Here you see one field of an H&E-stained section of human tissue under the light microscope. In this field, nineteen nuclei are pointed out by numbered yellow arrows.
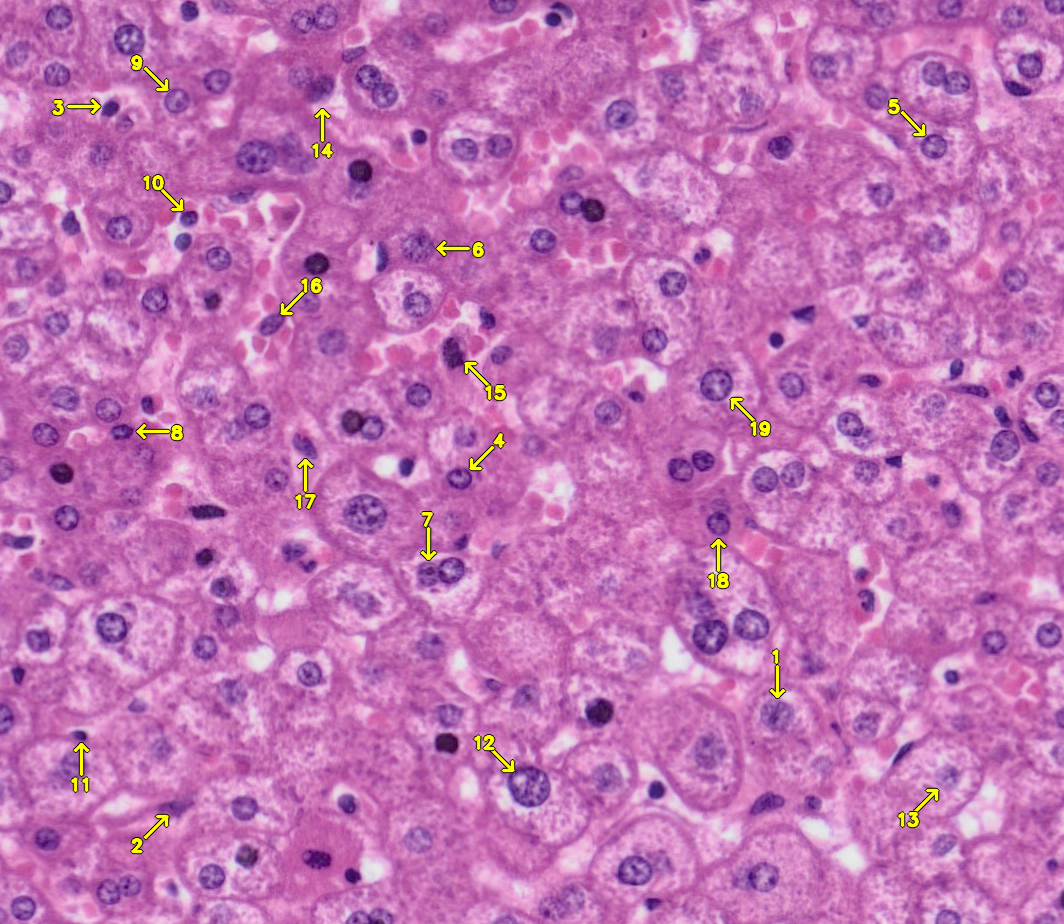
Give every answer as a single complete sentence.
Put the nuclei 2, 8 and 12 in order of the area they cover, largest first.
From largest to smallest, the order is 12, 2, 8.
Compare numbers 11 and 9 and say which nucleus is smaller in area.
With nucleus 9 about 3 times its size, nucleus 11 is the smaller of the two.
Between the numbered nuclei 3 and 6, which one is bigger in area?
Nucleus 6 is larger, with an area about 2.5 times that of nucleus 3.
